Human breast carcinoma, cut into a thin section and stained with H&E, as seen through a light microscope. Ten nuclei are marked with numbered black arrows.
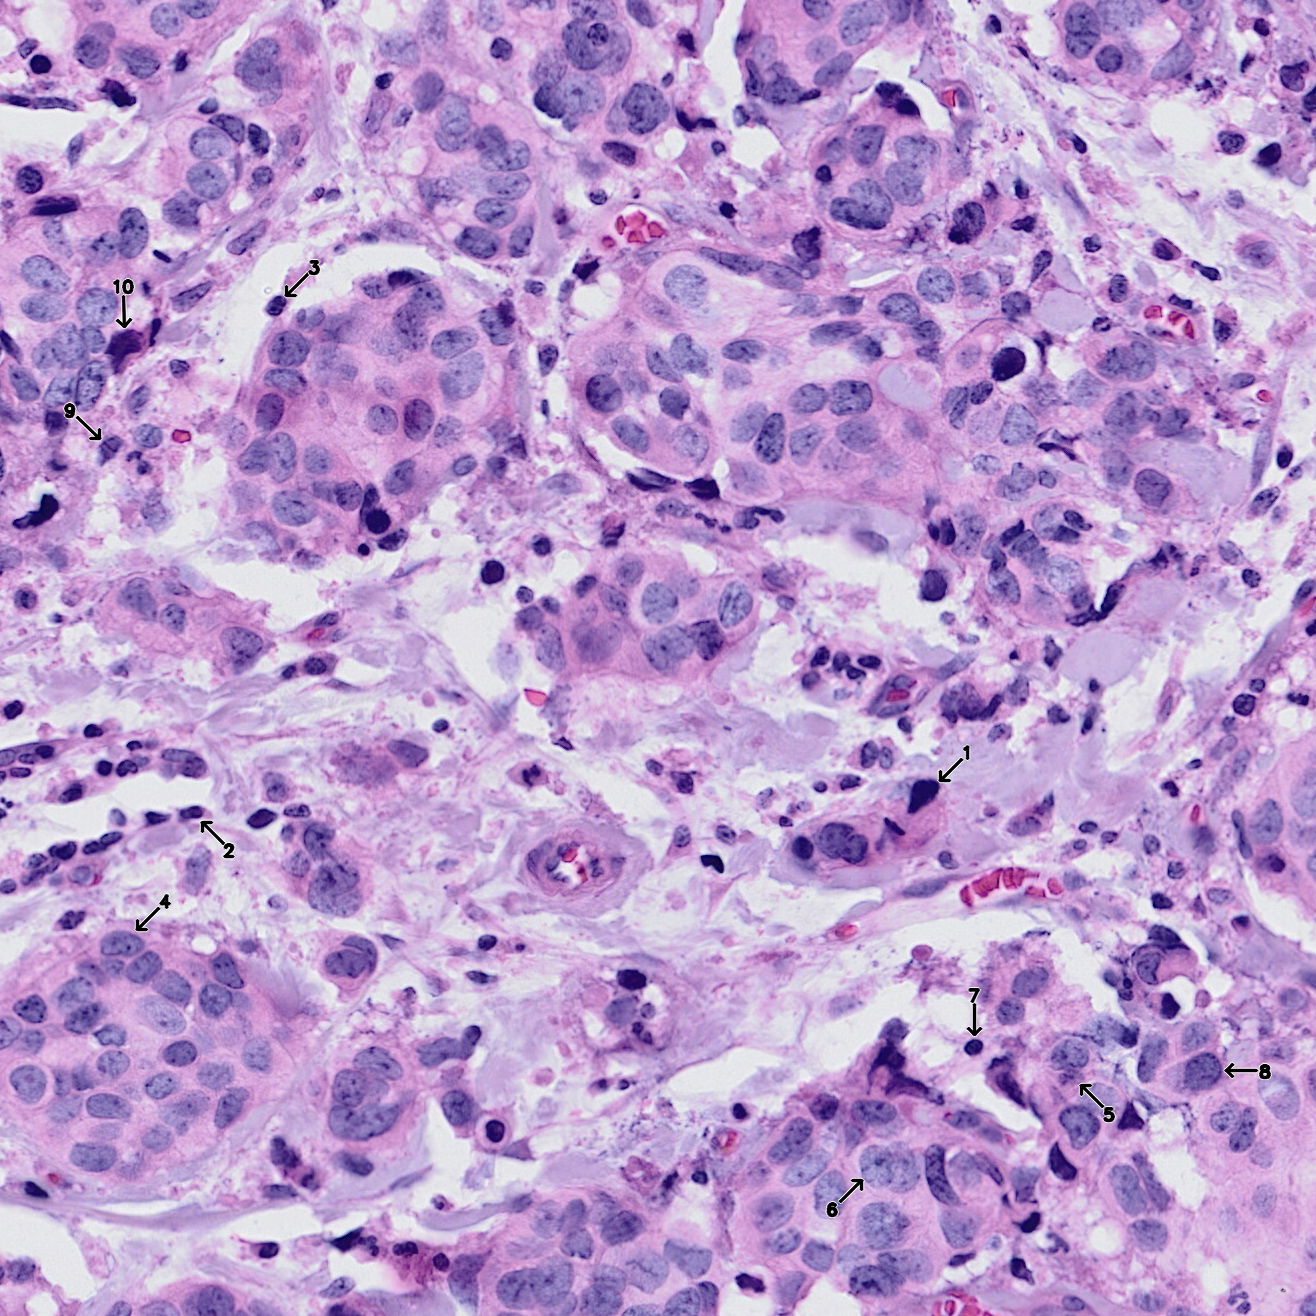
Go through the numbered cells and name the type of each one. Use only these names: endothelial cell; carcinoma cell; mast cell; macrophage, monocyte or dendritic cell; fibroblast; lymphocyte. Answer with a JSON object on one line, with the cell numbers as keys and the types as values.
{"1": "carcinoma cell", "2": "lymphocyte", "3": "lymphocyte", "4": "carcinoma cell", "5": "carcinoma cell", "6": "carcinoma cell", "7": "lymphocyte", "8": "carcinoma cell", "9": "macrophage, monocyte or dendritic cell", "10": "carcinoma cell"}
